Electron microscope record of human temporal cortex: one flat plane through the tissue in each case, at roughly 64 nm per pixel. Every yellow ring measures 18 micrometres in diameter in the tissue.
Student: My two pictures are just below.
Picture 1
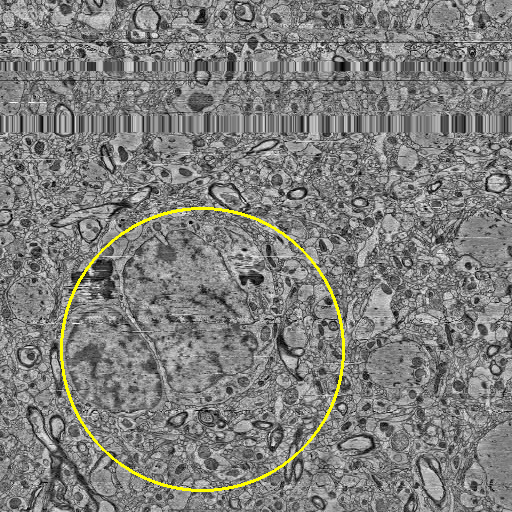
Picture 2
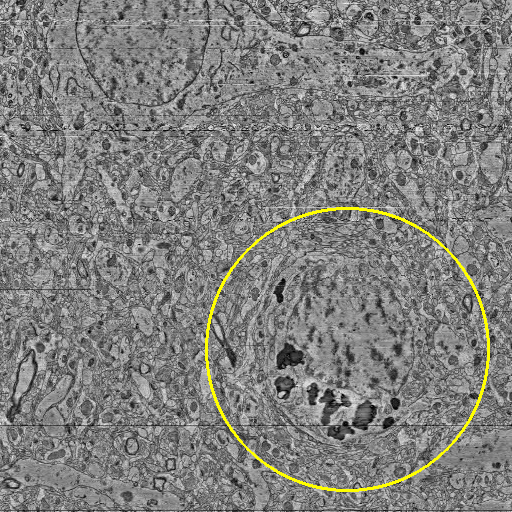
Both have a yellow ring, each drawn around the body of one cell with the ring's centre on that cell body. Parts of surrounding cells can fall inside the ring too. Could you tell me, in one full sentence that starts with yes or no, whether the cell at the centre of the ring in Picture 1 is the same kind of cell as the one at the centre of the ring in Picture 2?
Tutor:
Yes, the two cells are of the same kind.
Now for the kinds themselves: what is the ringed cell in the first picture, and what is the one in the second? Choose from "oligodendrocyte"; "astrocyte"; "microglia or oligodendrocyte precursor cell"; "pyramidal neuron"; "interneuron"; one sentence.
Each of the ringed cells, first and second, is an interneuron.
